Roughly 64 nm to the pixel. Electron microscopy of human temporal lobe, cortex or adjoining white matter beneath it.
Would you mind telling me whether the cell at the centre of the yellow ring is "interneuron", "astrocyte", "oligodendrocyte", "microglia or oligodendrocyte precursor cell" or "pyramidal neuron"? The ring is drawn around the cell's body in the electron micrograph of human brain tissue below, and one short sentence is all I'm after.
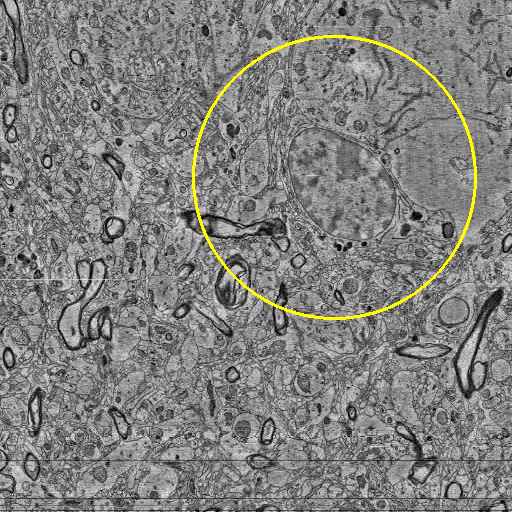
In the centre of the ring lies a microglial cell or oligodendrocyte precursor cell.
